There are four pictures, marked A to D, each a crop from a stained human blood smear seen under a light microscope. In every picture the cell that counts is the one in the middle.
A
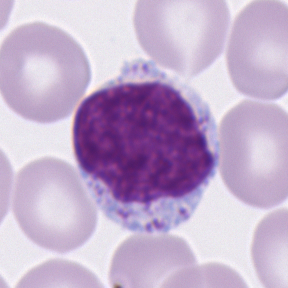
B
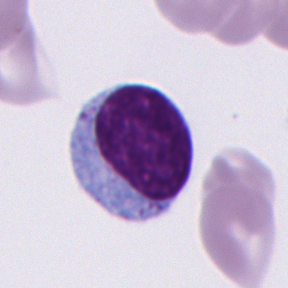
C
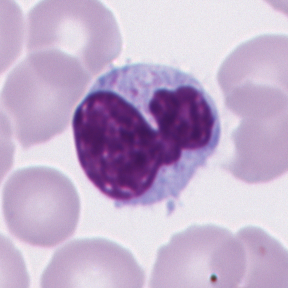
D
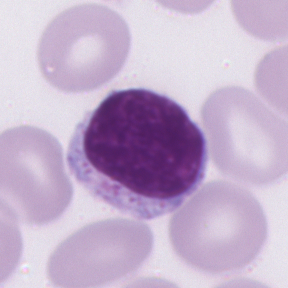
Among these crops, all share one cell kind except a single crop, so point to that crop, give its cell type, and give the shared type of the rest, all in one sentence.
The outlier here is crop B, which is a typical lymphocyte, while the remainder show large granular lymphocytes.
